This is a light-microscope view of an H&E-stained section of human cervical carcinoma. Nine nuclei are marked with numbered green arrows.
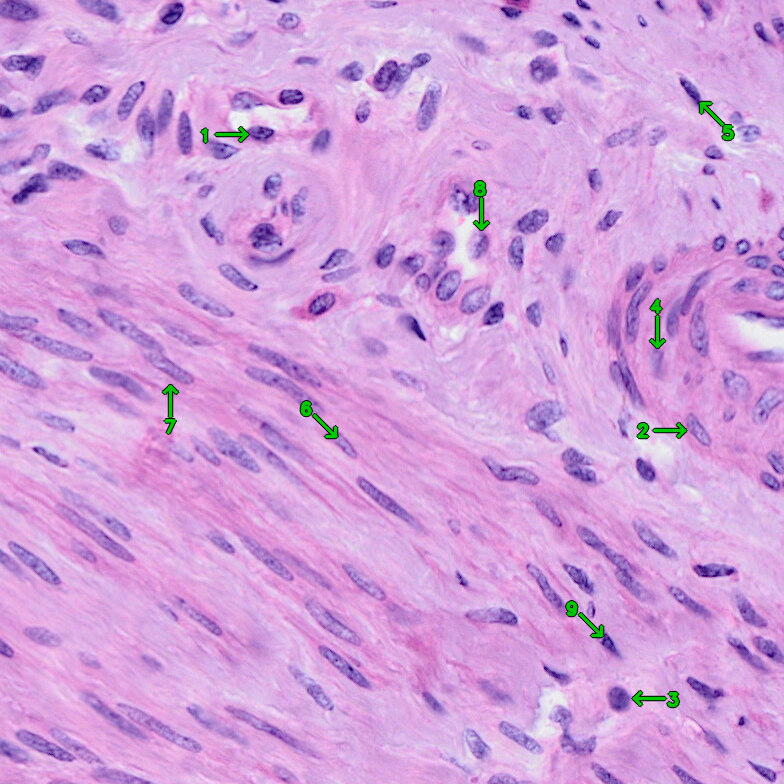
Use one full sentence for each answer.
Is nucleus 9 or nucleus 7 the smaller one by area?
With nucleus 7 about 2.5 times its size, nucleus 9 is the smaller of the two.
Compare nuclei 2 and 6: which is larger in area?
Nucleus 2 is the larger one, covering about 1.5 times the area of nucleus 6.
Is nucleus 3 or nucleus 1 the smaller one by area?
It is nucleus 1; nucleus 3 has about 1.5 times its area.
